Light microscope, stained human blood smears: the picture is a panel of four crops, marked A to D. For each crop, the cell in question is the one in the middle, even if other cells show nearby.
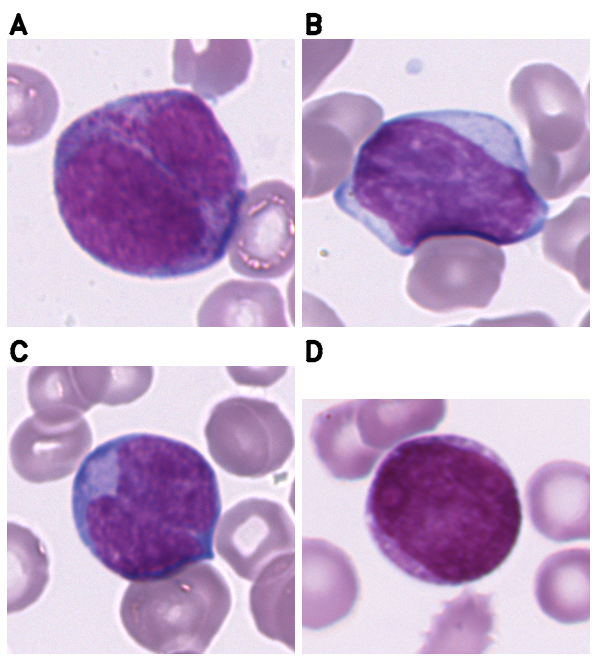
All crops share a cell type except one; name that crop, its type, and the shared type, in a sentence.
Crop A is singled out as a promyelocyte, and all of the other crops show blasts.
